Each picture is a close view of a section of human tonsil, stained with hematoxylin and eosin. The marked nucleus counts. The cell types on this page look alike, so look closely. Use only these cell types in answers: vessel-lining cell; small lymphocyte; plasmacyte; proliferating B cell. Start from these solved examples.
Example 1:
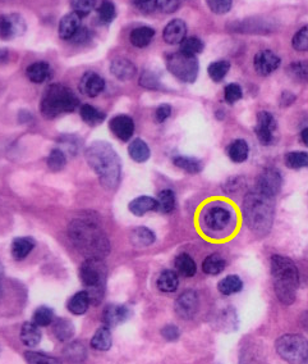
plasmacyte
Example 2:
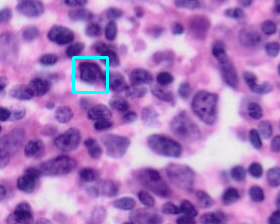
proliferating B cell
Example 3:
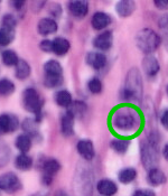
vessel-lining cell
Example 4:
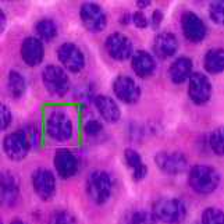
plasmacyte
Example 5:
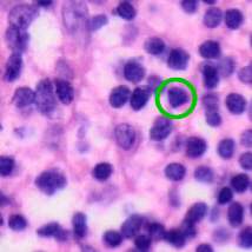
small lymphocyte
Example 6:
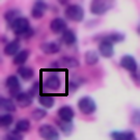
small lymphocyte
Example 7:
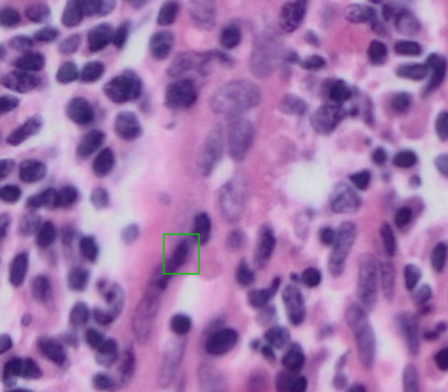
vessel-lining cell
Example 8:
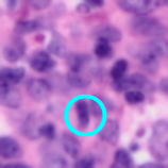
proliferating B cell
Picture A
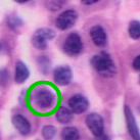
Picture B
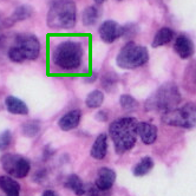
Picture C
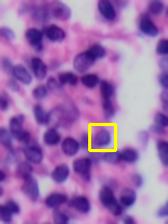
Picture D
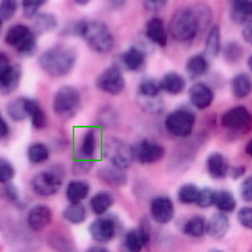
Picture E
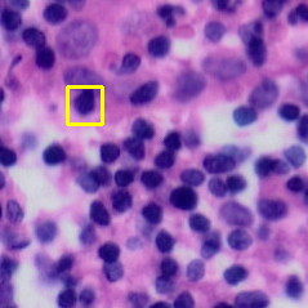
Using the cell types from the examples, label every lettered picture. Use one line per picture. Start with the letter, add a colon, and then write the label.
A: plasmacyte
B: proliferating B cell
C: small lymphocyte
D: vessel-lining cell
E: vessel-lining cell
